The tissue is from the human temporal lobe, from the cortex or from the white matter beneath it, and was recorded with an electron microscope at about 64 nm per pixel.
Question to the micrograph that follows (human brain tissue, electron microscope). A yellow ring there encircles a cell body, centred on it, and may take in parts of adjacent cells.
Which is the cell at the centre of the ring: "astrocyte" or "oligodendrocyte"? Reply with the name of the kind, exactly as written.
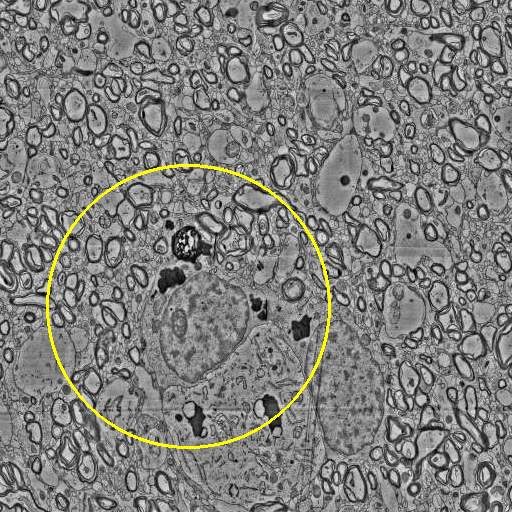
oligodendrocyte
